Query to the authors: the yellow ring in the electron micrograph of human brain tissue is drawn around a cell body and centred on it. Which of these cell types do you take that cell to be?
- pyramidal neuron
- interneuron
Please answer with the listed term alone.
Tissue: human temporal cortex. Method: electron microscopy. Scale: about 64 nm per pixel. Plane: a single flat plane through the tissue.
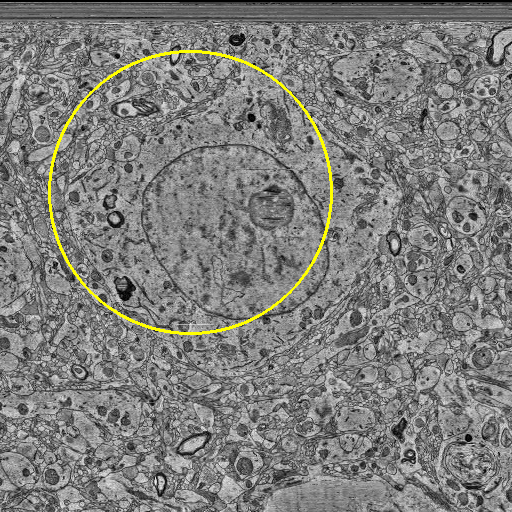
pyramidal neuron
